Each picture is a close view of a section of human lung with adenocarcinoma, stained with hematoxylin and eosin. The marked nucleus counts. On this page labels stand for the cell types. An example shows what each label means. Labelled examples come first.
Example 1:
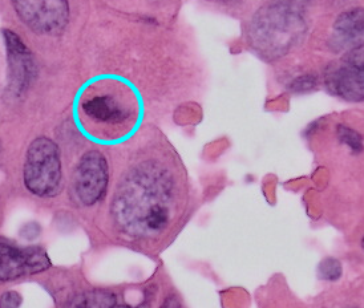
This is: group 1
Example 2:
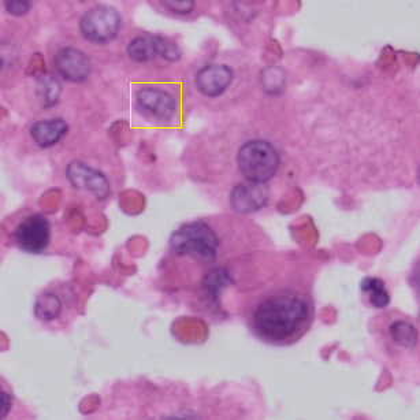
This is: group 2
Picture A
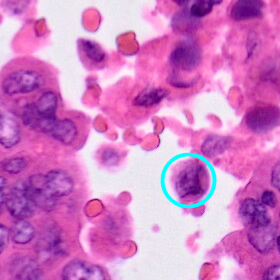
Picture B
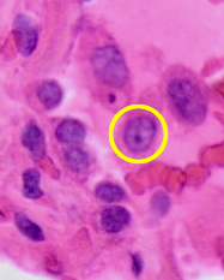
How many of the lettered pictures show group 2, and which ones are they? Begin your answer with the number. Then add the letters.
Count: 1 (B)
